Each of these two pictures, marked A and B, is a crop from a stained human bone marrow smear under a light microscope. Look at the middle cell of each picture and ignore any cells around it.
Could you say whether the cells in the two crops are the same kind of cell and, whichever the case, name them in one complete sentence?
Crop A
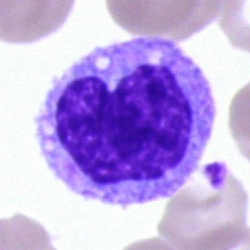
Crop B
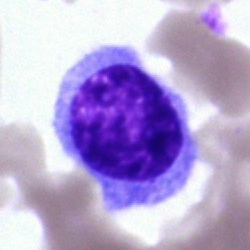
No, crop A shows a monocyte, whereas in crop B the cell is a hairy cell.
